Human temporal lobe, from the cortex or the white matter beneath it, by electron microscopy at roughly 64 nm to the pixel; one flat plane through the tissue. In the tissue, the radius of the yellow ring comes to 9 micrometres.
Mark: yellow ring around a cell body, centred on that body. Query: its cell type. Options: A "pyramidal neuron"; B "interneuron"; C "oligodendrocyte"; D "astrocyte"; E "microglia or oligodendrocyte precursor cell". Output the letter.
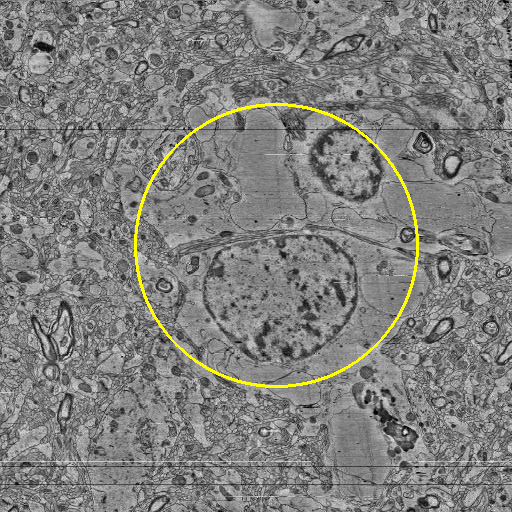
D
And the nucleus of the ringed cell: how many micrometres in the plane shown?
About 9 micrometers across, in this plane.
